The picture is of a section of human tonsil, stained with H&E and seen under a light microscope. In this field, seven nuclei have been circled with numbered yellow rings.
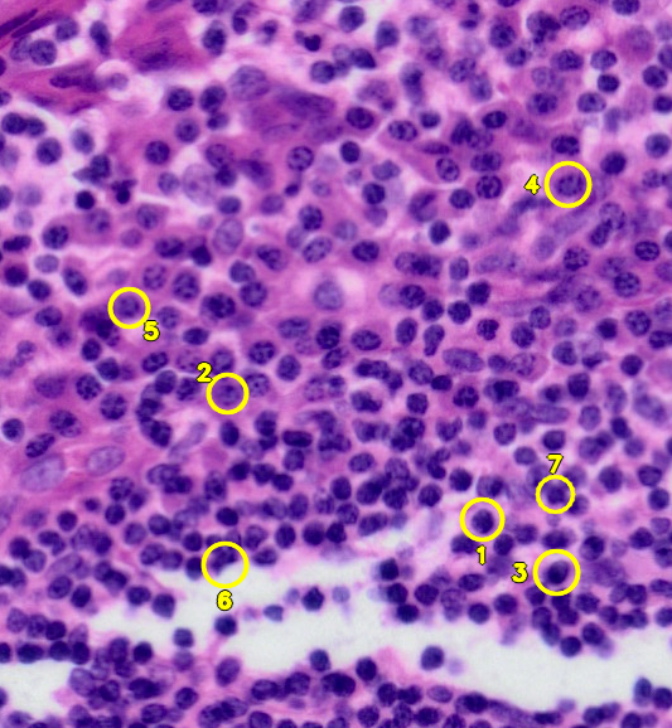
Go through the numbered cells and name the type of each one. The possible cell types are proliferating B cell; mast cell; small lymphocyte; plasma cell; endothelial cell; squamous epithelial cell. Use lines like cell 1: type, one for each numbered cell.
cell 1: small lymphocyte
cell 2: plasma cell
cell 3: small lymphocyte
cell 4: plasma cell
cell 5: plasma cell
cell 6: small lymphocyte
cell 7: small lymphocyte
